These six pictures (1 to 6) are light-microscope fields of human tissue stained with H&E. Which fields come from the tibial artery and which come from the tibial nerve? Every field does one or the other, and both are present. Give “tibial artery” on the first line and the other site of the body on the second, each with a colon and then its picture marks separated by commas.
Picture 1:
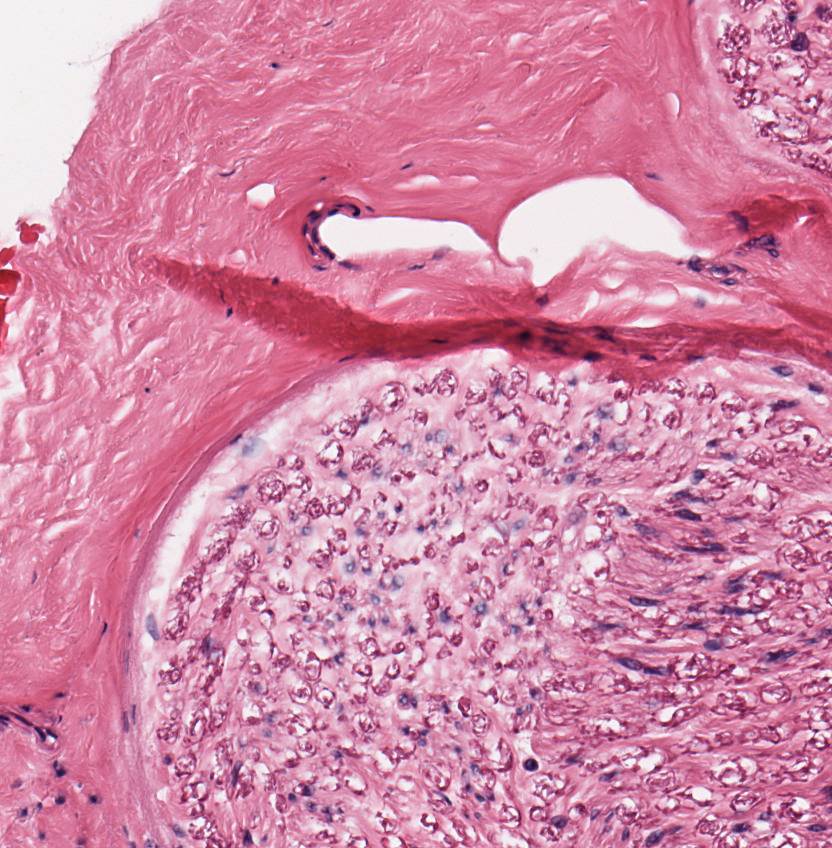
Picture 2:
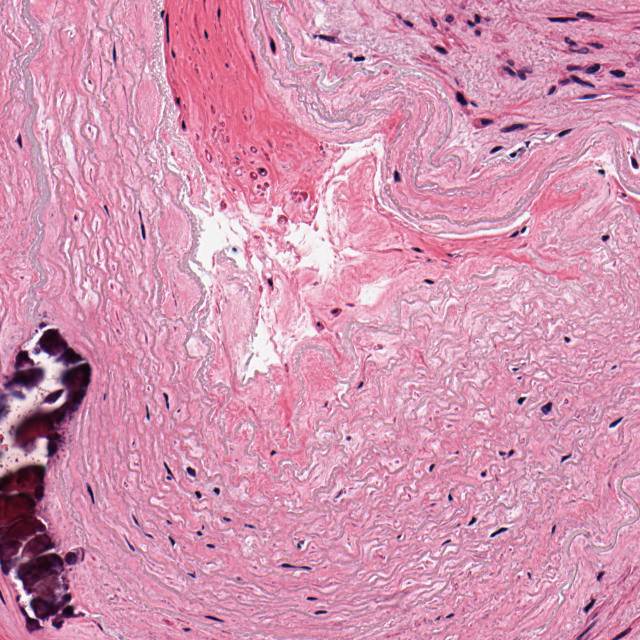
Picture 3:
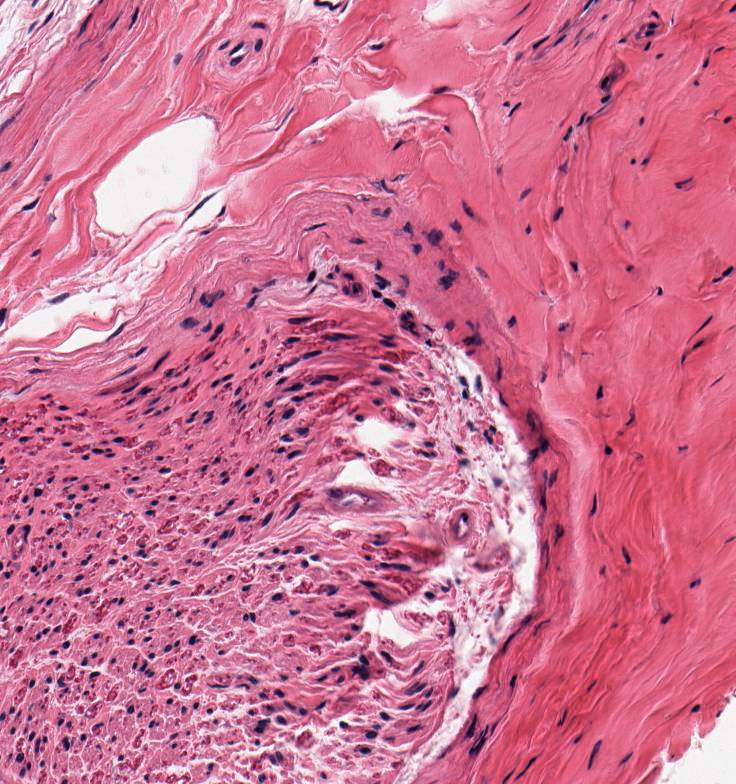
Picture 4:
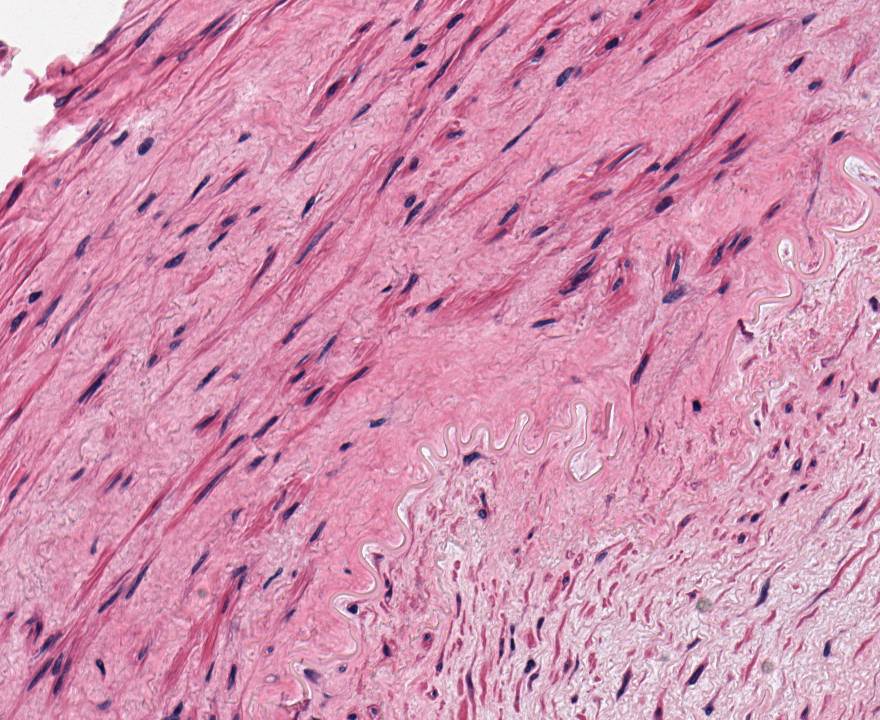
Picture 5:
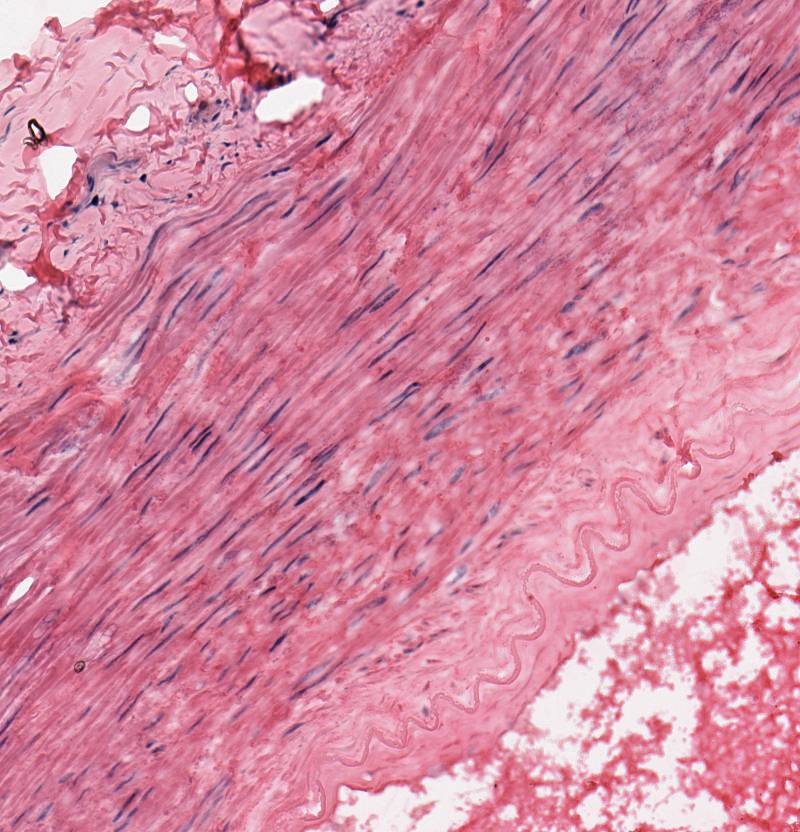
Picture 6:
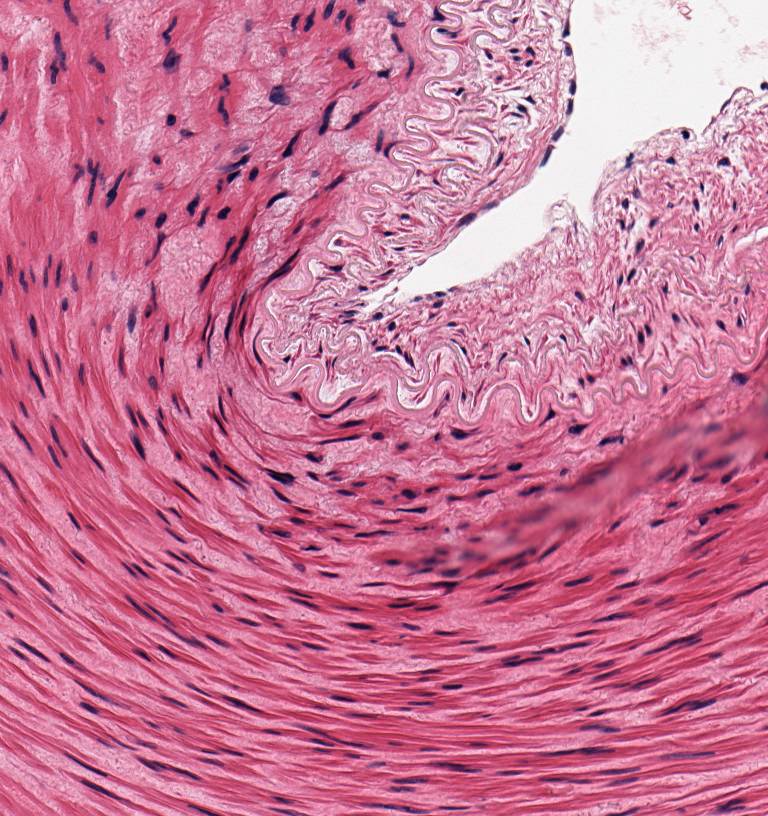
tibial artery: 2, 4, 5, 6
tibial nerve: 1, 3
